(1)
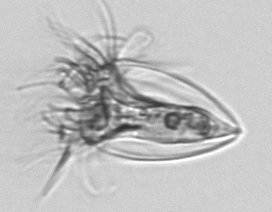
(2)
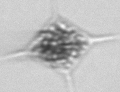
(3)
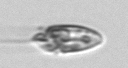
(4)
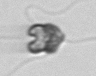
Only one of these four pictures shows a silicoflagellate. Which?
Picture 2.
